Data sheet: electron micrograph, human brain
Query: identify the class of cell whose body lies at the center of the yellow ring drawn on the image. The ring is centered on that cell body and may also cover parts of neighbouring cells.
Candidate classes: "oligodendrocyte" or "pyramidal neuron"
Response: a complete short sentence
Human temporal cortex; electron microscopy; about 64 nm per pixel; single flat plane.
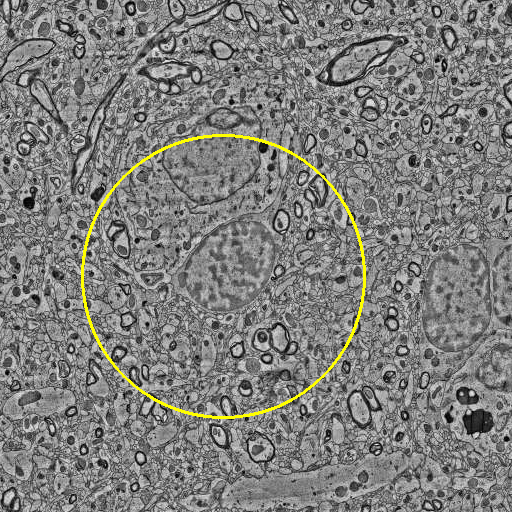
At the center of the ring lies an oligodendrocyte.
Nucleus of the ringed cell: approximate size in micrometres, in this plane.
The nucleus has a long axis of about 6 micrometres and a short axis of about 5 micrometres in this plane.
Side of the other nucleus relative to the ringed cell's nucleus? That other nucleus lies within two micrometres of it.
The other nucleus can be seen above it.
